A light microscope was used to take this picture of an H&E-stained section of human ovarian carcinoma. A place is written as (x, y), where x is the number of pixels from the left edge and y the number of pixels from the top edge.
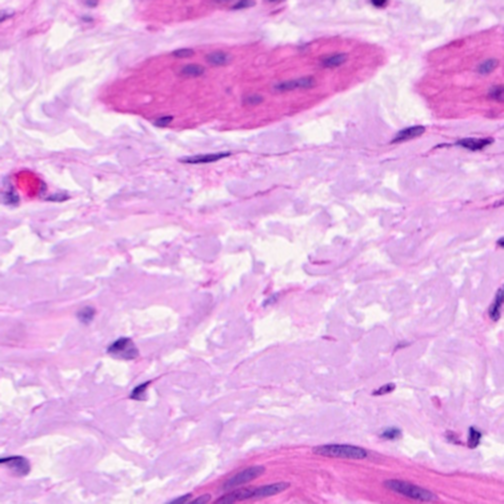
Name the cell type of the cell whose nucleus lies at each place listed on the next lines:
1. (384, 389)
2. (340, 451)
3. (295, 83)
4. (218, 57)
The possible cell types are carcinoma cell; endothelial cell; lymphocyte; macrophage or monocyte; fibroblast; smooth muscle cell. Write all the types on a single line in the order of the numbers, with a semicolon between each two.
fibroblast; smooth muscle cell; smooth muscle cell; smooth muscle cell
